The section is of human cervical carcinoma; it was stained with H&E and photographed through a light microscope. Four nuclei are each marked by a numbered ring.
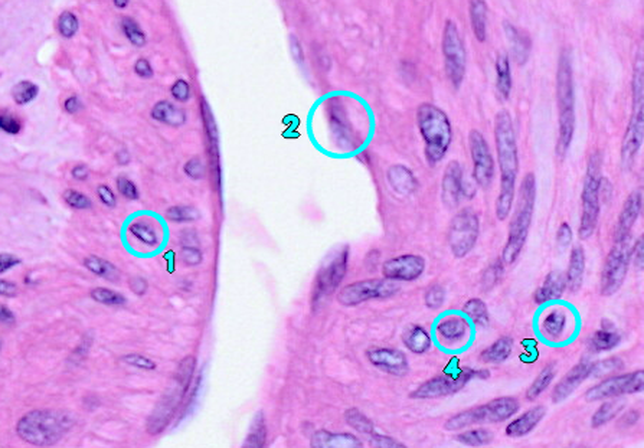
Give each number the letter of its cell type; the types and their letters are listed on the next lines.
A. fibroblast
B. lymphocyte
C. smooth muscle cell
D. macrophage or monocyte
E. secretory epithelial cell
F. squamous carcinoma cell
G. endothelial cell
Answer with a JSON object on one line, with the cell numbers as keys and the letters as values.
{"1": "C", "2": "G", "3": "C", "4": "C"}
